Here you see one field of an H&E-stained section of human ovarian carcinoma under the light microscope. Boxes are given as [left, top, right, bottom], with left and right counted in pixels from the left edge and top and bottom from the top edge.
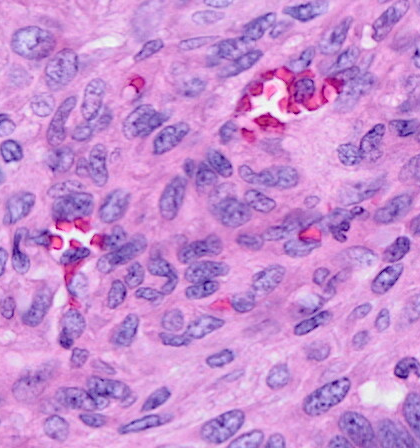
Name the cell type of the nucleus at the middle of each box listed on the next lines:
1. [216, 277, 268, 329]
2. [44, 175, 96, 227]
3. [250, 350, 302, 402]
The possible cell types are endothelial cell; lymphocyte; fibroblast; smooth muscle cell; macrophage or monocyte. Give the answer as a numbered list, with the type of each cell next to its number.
1. endothelial cell
2. endothelial cell
3. fibroblast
